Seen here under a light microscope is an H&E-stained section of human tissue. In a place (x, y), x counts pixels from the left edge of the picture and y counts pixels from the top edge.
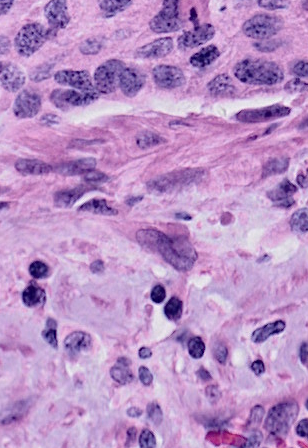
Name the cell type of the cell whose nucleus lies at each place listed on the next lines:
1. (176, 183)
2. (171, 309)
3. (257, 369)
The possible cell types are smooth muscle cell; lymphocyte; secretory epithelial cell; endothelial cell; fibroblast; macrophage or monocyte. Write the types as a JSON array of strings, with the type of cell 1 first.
["fibroblast", "lymphocyte", "lymphocyte"]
